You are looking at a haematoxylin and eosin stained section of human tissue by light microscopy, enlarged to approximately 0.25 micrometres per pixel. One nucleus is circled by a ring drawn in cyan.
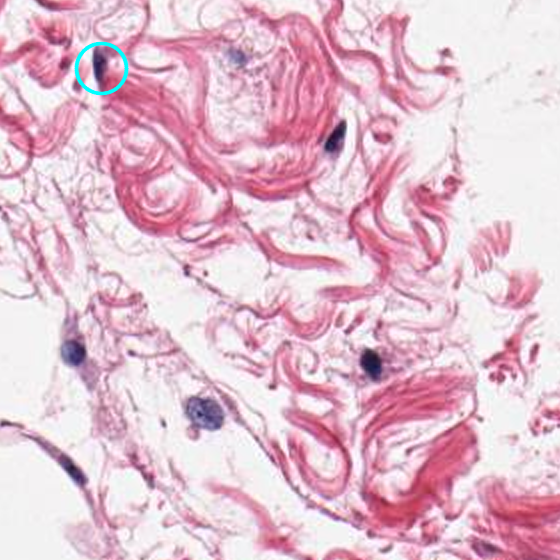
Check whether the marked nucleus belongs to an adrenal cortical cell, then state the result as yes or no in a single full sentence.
No, the marked nucleus is not housed in an adrenal cortical cell but in a supporting cell.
